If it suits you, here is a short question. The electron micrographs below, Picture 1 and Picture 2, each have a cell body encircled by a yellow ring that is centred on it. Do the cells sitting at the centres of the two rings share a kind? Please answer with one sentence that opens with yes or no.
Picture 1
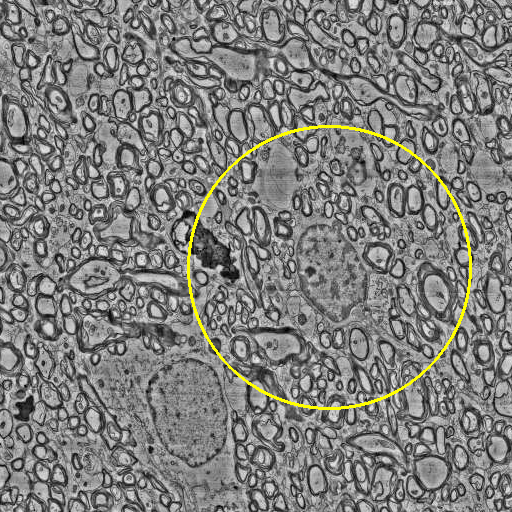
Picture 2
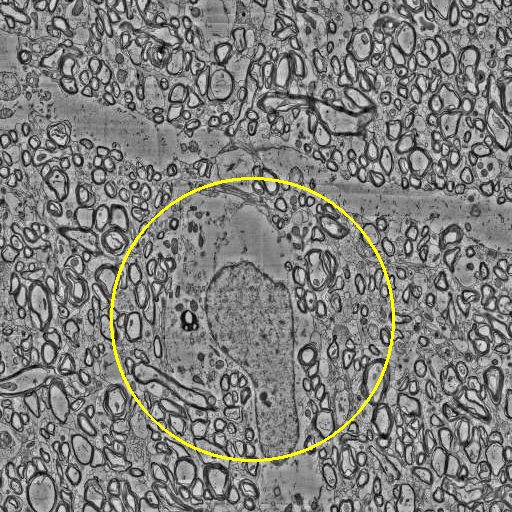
No, the two cells sitting at the ring centres fall into two kinds.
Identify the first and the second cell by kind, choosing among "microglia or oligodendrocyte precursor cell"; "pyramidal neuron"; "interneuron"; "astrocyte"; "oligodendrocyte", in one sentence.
The one in the first picture is an oligodendrocyte, while the one in the second is an astrocyte.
